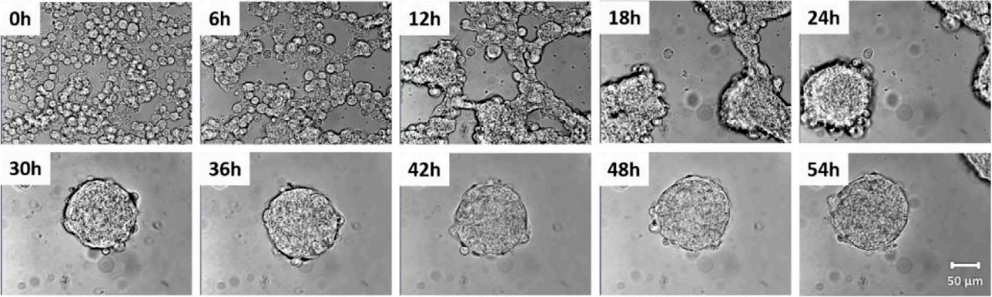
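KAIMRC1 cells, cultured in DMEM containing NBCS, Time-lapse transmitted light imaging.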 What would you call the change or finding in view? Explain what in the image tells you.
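Early frames show many separate round cells scattered over the surface. Middle frames show the cells gathered into irregular clusters and bridges. Later frames show a single compact, round multicellular mass with a smooth border.
Conclusion: Spheroid formation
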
